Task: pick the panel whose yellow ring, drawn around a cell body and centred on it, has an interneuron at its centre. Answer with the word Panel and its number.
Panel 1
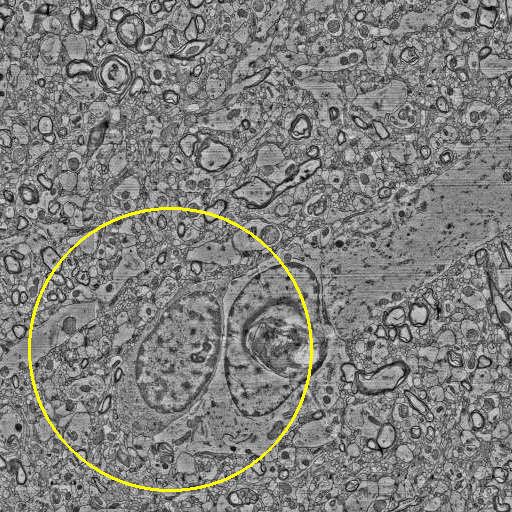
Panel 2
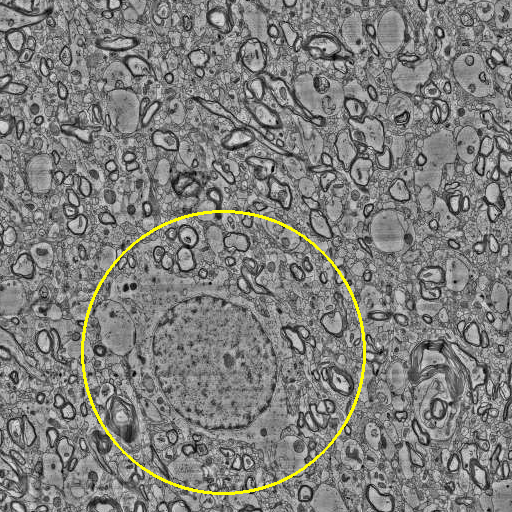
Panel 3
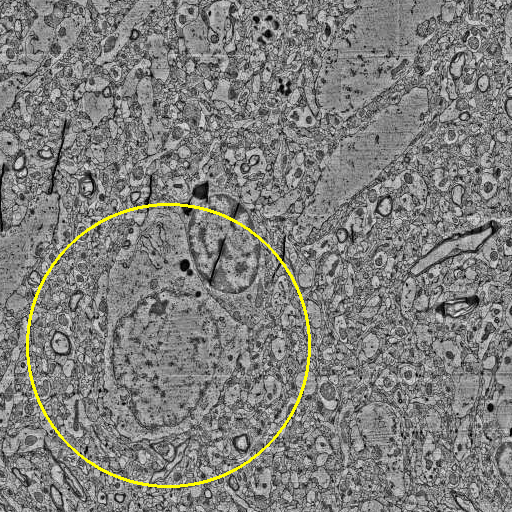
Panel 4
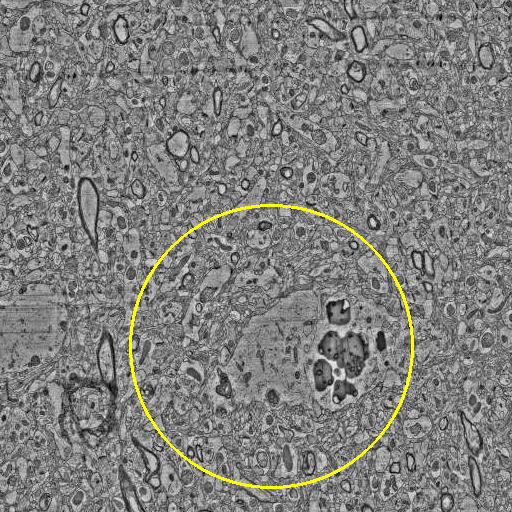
Panel 3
